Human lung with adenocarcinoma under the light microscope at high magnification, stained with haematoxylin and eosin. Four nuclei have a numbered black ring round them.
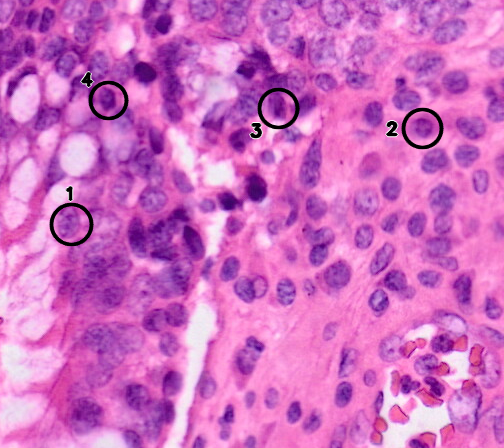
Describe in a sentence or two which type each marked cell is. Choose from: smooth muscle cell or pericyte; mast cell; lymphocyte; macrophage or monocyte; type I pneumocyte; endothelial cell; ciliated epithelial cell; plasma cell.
Cell 1 is a ciliated epithelial cell, cell 2 is a plasma cell, cell 3 is a ciliated epithelial cell and cell 4 is a ciliated epithelial cell.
